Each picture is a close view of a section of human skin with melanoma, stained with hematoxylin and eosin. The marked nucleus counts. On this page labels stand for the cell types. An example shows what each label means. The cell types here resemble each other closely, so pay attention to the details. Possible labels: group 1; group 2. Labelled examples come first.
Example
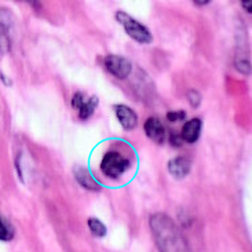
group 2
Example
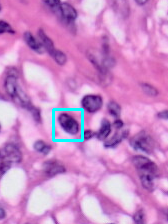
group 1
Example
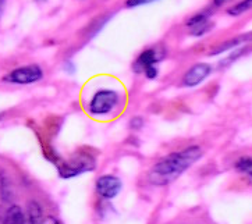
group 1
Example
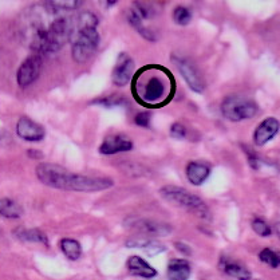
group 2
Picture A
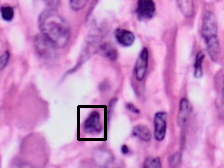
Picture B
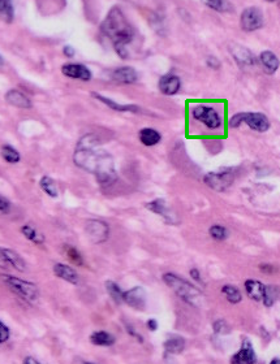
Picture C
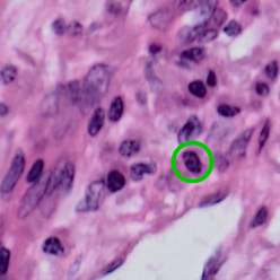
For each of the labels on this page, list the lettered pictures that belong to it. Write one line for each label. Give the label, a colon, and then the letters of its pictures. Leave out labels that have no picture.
group 1: A
group 2: B, C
